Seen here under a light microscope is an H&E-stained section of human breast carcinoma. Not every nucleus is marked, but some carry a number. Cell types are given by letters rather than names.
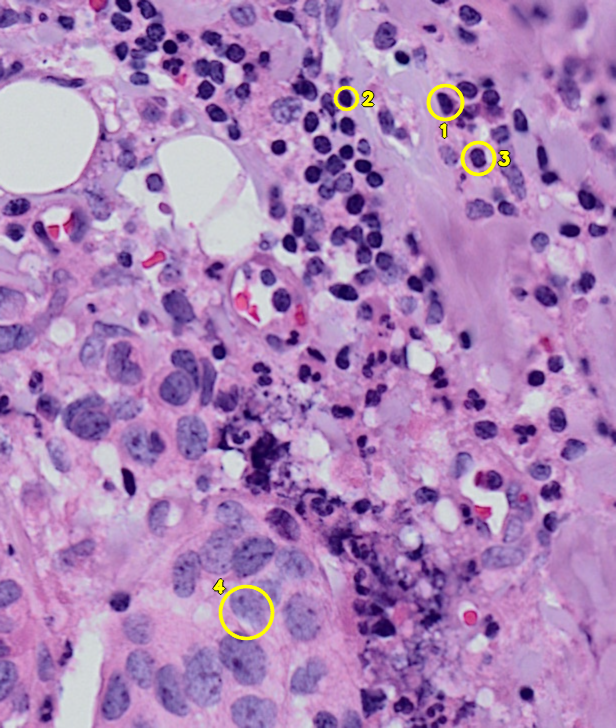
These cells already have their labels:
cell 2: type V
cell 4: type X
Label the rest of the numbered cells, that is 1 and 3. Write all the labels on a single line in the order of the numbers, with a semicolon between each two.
type V; type V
